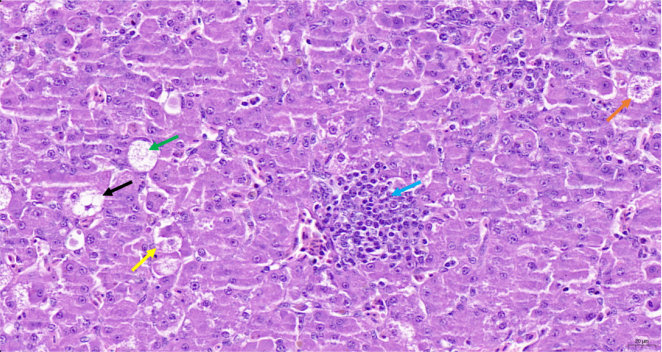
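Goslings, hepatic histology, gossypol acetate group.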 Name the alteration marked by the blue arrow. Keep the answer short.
Lymphocytic infiltration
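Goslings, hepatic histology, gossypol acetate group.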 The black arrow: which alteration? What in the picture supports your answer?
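Disappearance of the cytoplasm of hepatocytes. The marked cell is swollen with a largely empty, clear interior. Only a rim and a small remnant remain inside the cell outline.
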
